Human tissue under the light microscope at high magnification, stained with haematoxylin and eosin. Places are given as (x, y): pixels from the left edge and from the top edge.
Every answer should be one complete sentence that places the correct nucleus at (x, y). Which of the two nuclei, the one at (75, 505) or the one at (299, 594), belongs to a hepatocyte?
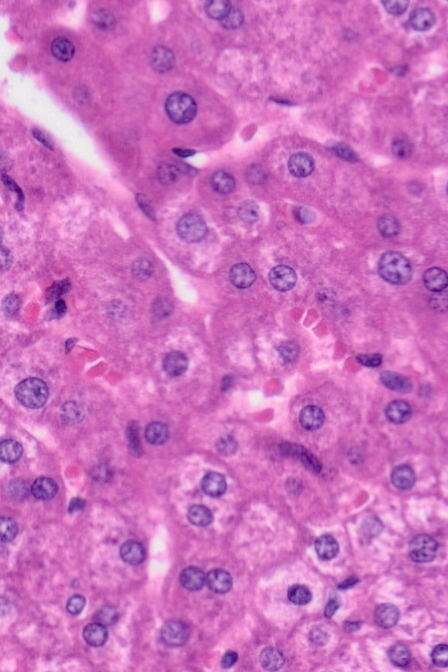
The member of the pair belonging to a hepatocyte is the nucleus at (299, 594).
